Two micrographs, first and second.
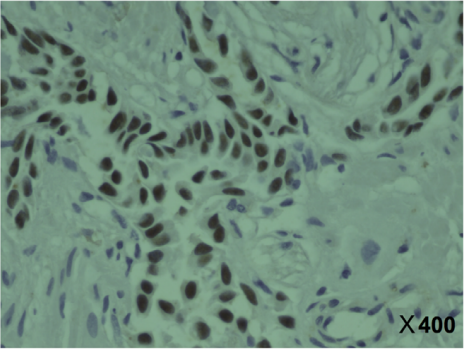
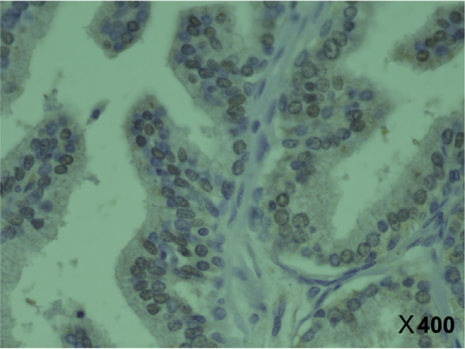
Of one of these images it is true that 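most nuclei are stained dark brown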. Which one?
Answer: the first image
